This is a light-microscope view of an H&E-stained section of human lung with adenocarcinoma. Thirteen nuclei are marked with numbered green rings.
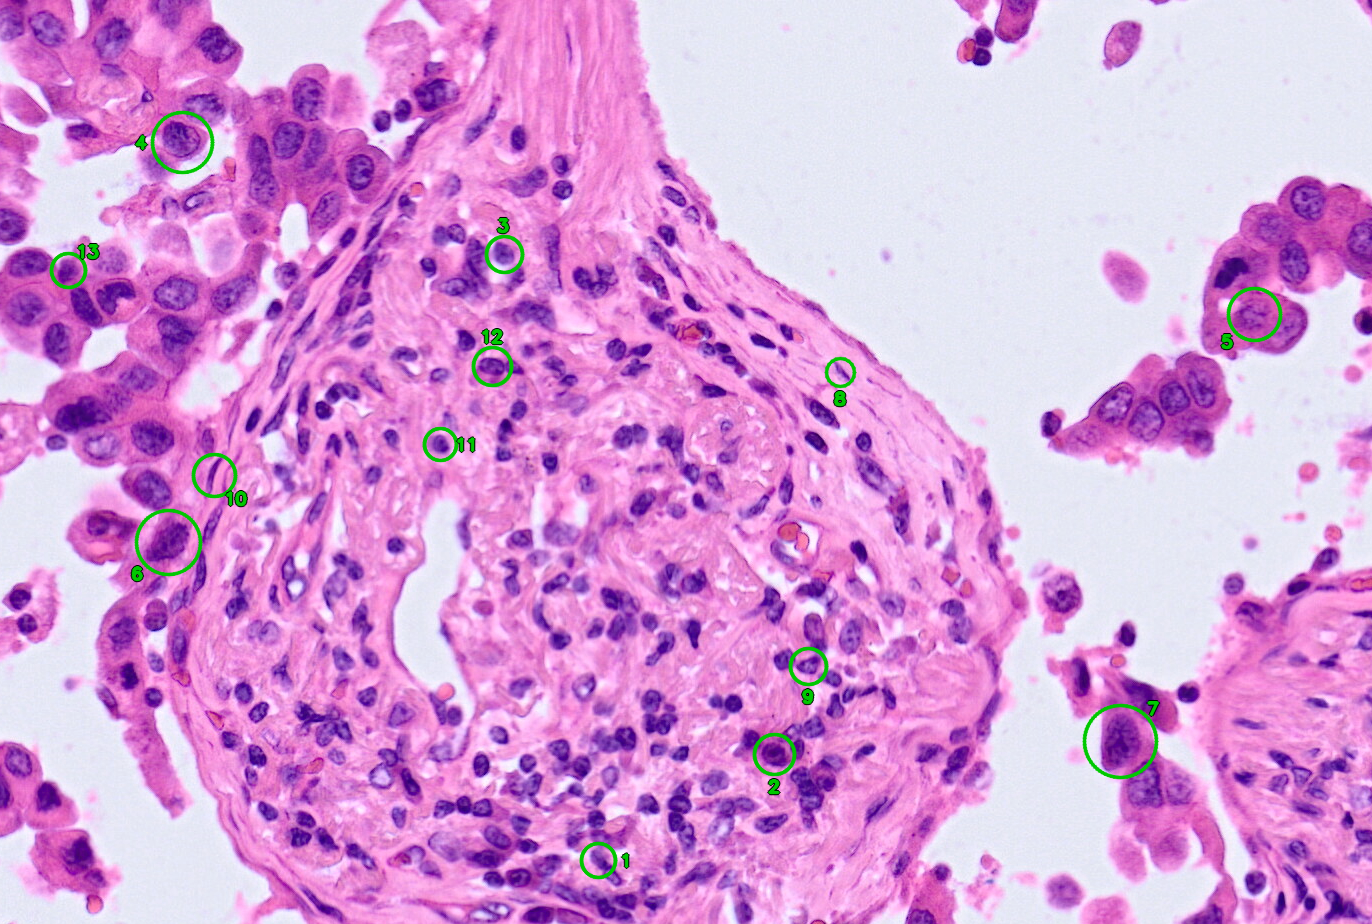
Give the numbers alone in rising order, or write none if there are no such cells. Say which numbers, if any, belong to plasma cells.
2, 12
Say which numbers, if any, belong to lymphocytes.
1, 3, 9, 11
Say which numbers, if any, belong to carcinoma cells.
4, 5, 6, 7, 13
